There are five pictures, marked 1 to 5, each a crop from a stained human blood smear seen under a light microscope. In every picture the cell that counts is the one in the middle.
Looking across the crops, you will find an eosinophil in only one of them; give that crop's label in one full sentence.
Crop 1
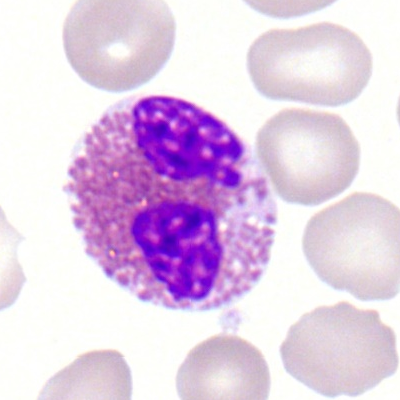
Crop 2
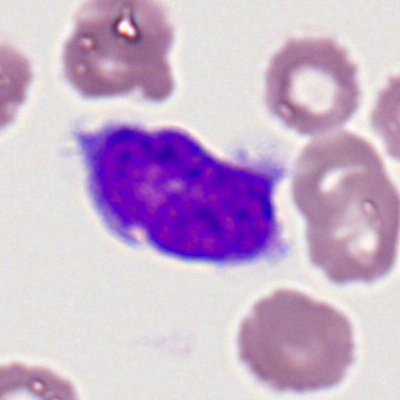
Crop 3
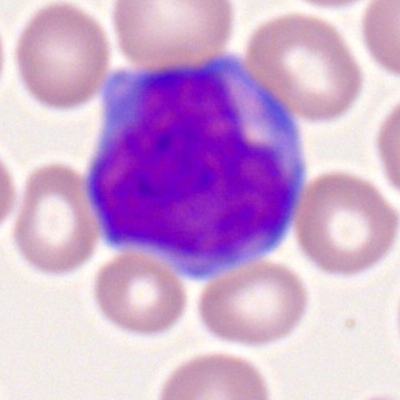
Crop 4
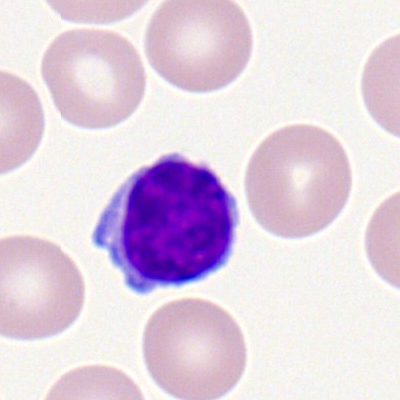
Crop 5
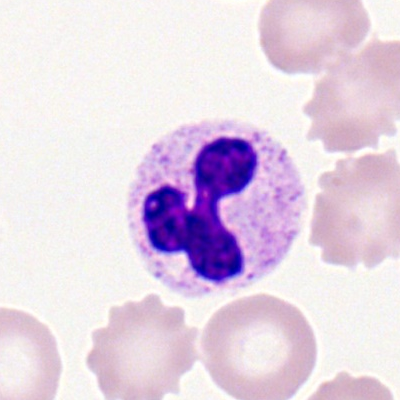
Of these crops, it is crop 1 that shows an eosinophil.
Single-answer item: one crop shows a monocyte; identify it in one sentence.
Crop 2, and no other, shows a monocyte.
